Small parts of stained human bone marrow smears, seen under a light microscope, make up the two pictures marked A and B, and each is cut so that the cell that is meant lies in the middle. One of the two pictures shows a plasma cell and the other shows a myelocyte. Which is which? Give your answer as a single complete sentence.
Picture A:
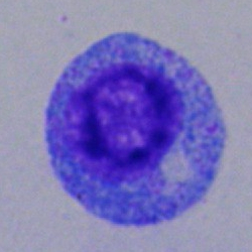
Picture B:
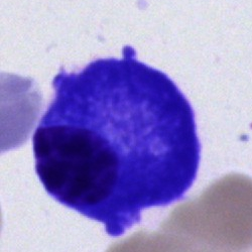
Picture A shows a myelocyte and picture B shows a plasma cell.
